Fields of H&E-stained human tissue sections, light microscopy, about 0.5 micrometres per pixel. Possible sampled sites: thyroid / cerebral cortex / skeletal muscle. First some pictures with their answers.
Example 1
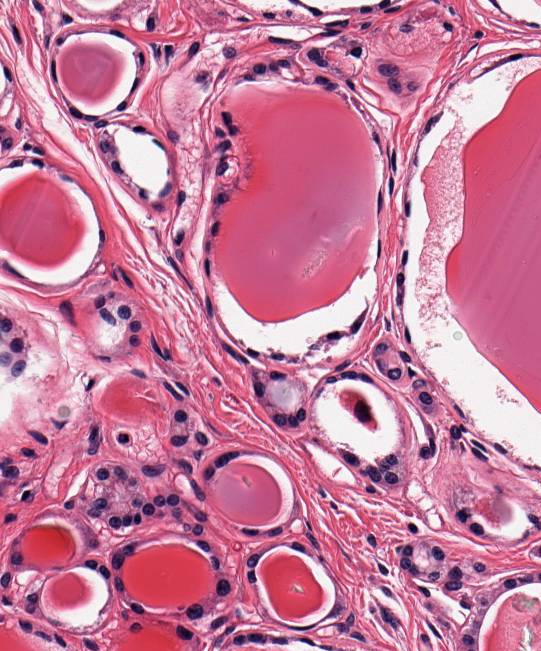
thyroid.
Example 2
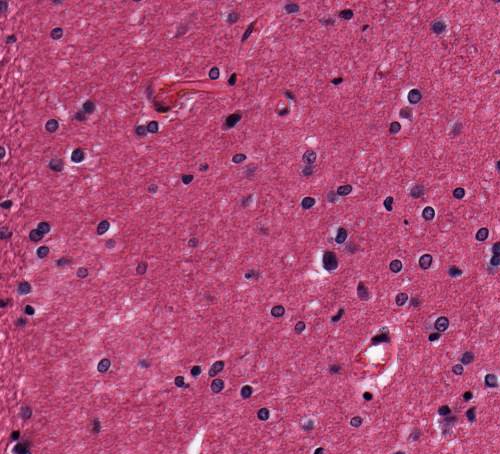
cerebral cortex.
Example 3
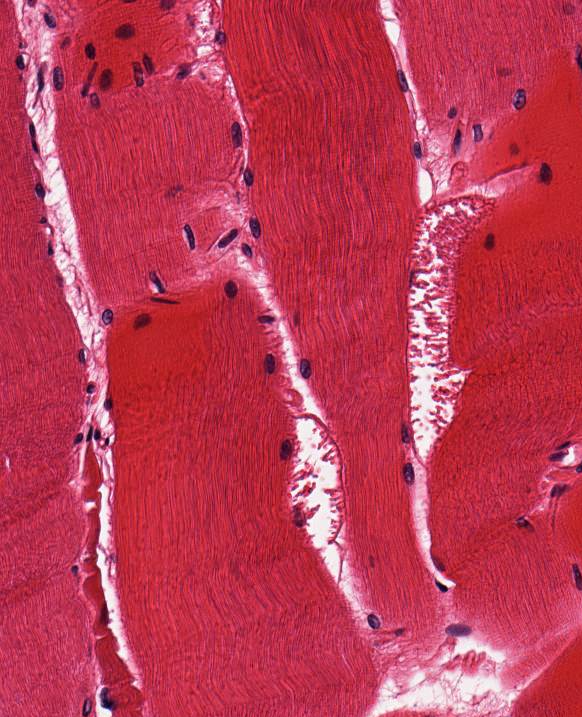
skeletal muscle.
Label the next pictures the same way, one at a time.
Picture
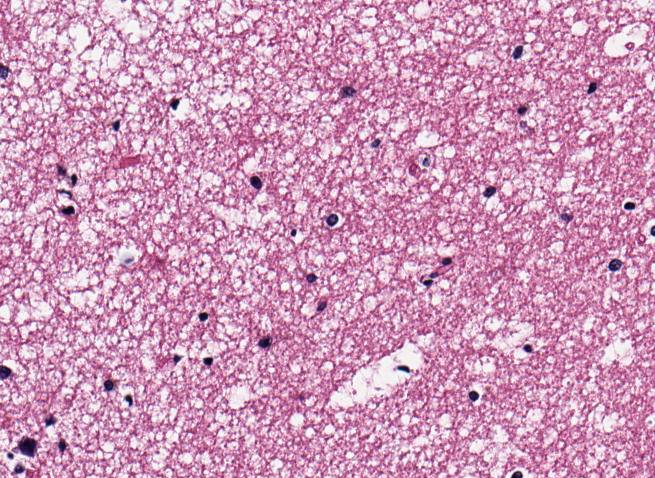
cerebral cortex.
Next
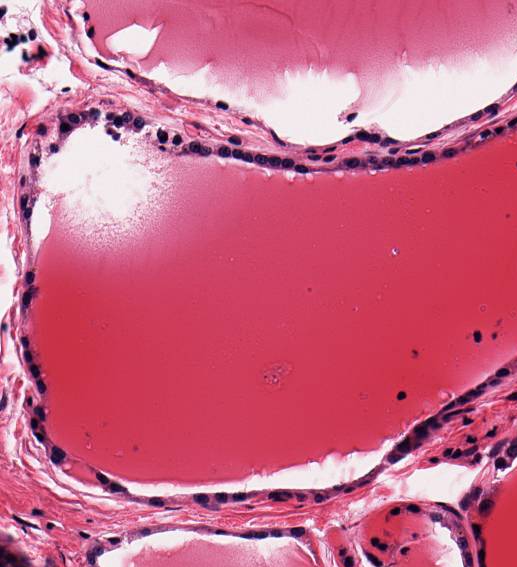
thyroid.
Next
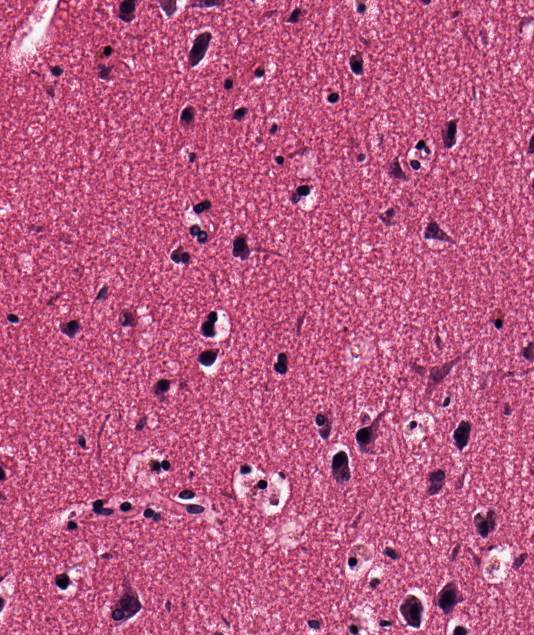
cerebral cortex.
